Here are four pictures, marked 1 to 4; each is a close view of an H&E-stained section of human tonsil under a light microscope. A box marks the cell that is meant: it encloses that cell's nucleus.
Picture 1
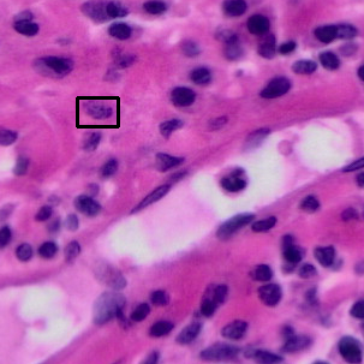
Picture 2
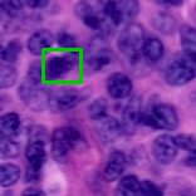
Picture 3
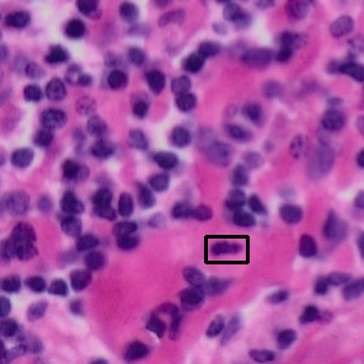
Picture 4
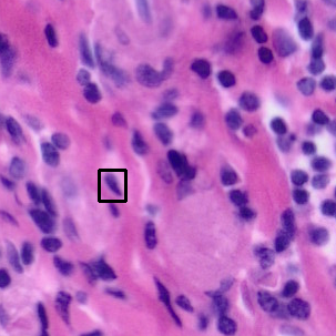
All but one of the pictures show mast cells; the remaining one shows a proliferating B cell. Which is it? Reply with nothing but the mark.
2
